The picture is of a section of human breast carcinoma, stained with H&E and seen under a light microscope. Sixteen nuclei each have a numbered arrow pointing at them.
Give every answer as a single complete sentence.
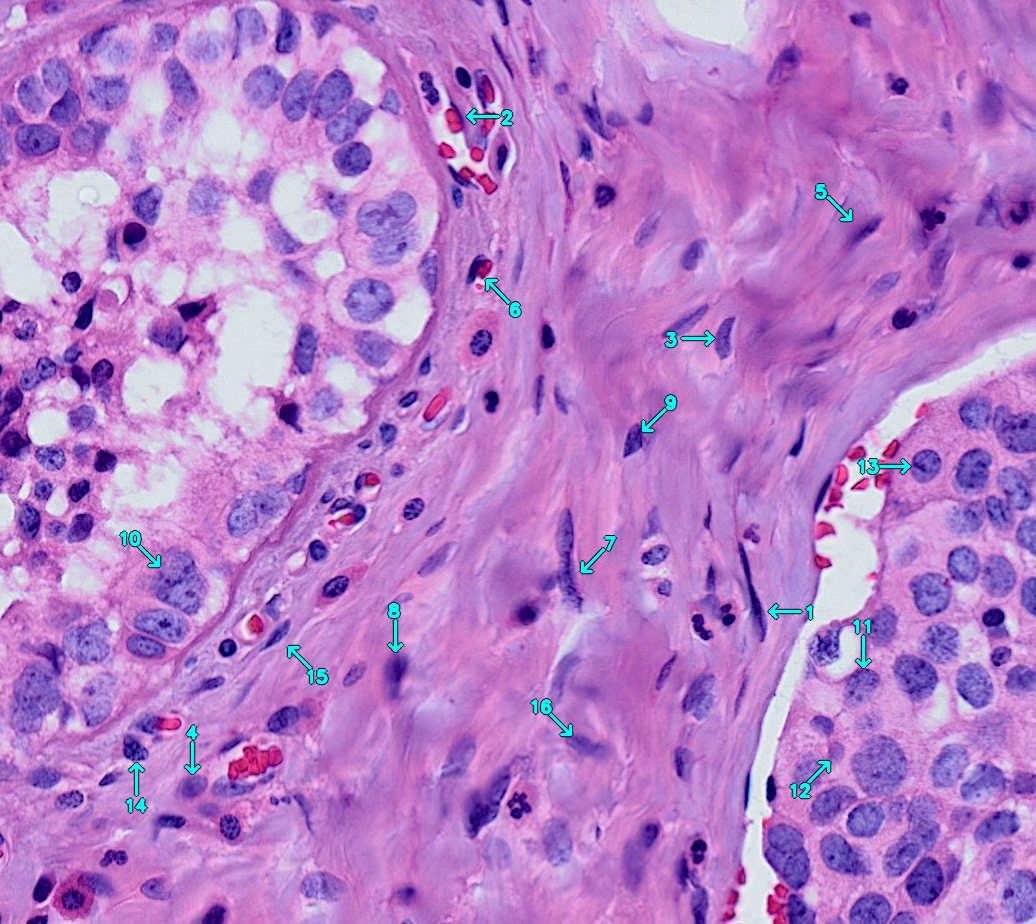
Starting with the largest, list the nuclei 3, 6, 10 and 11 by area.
Going from the biggest nucleus down to the smallest gives 10, 11, 3, 6.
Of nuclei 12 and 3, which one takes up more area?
Nucleus 3 is larger, with an area about 2 times that of nucleus 12.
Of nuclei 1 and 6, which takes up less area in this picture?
Nucleus 6 is the smaller one; nucleus 1 covers about 1.5 times its area.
